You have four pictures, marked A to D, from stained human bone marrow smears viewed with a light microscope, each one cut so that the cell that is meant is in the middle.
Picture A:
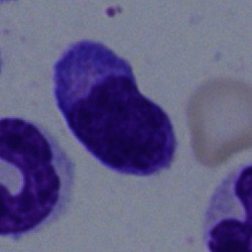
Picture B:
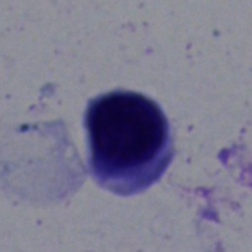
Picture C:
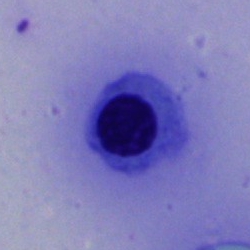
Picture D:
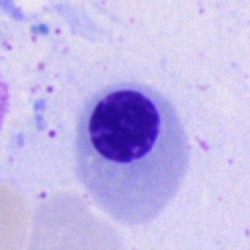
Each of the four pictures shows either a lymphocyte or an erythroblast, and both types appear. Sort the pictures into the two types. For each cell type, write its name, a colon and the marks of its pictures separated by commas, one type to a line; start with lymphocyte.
lymphocyte: A
erythroblast: B, C, D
